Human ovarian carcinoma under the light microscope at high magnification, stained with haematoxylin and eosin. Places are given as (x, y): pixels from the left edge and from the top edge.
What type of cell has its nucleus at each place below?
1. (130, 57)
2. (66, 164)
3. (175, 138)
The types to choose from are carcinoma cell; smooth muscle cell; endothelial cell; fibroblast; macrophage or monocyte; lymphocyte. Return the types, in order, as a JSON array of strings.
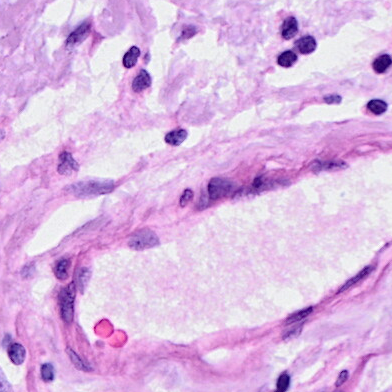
["lymphocyte", "macrophage or monocyte", "lymphocyte"]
